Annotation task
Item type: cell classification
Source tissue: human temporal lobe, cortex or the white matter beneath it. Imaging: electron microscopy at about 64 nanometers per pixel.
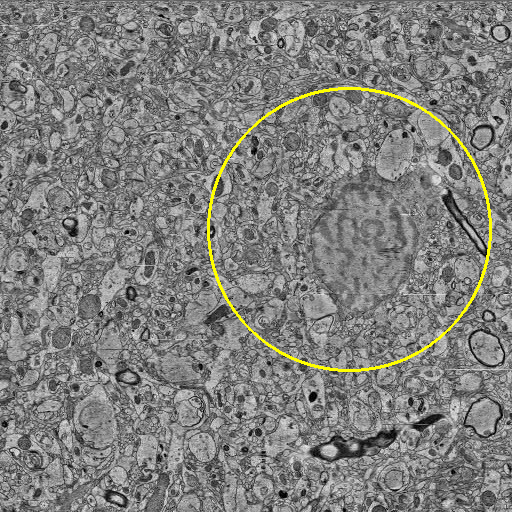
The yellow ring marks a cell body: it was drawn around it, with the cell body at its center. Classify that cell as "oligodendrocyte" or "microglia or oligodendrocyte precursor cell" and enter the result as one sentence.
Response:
The ring's center falls on an oligodendrocyte.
